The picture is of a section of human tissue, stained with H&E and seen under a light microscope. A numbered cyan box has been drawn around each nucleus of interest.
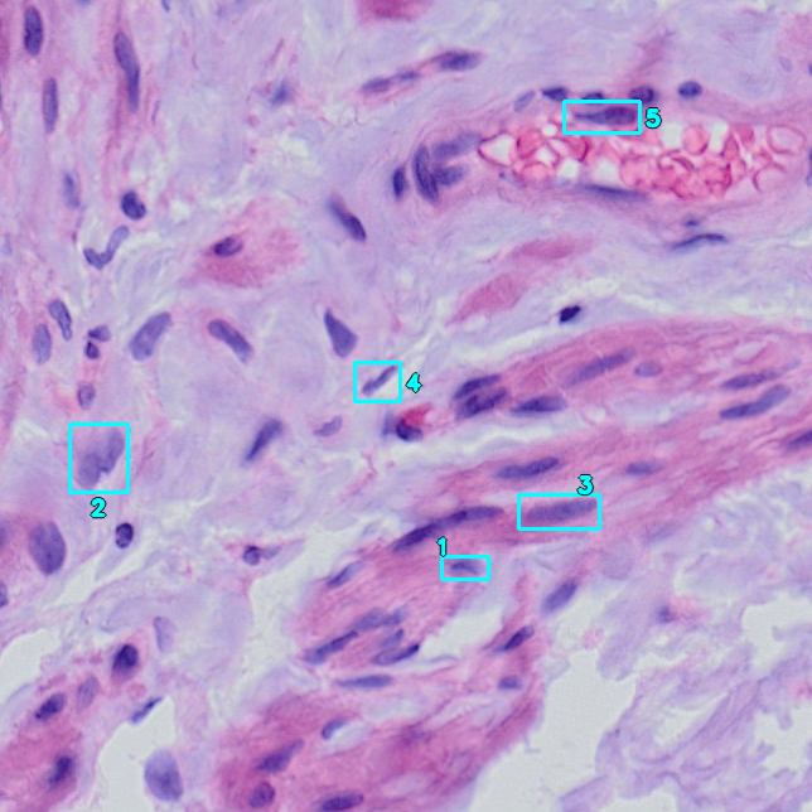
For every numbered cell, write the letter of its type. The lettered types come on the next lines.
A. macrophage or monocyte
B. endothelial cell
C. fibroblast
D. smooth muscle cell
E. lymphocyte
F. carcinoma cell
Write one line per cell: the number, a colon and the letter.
1: D
2: C
3: D
4: C
5: B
